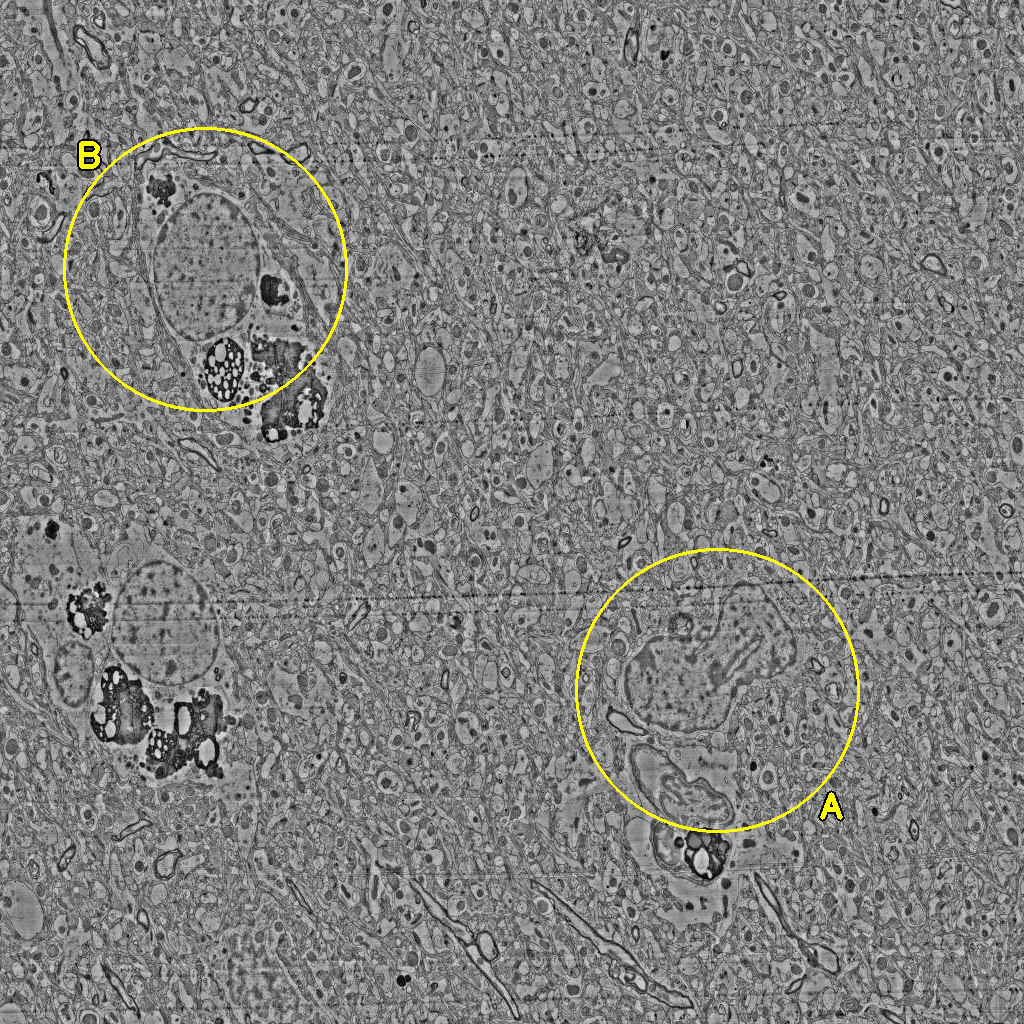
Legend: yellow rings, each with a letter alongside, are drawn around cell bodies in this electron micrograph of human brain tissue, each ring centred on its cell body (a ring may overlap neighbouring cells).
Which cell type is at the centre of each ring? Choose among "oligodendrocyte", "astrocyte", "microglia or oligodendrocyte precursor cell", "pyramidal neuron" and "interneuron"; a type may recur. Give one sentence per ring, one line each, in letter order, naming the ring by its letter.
Ring A has a microglial cell or oligodendrocyte precursor cell at its centre.
Ring B has an astrocyte at its centre.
